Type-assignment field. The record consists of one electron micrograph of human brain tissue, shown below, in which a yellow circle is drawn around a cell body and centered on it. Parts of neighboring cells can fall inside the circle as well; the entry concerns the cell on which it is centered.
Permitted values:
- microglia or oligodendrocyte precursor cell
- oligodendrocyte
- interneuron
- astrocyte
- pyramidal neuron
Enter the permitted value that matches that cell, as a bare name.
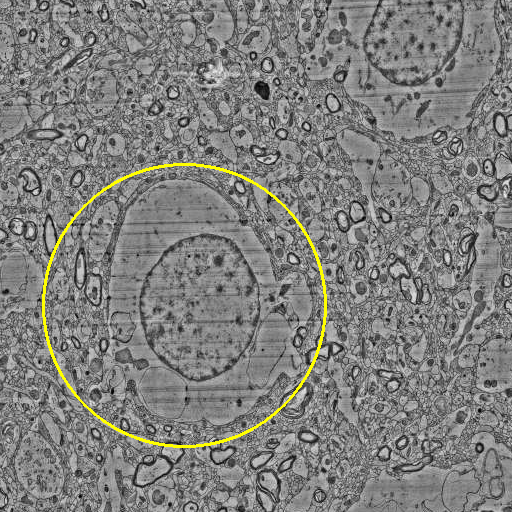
astrocyte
